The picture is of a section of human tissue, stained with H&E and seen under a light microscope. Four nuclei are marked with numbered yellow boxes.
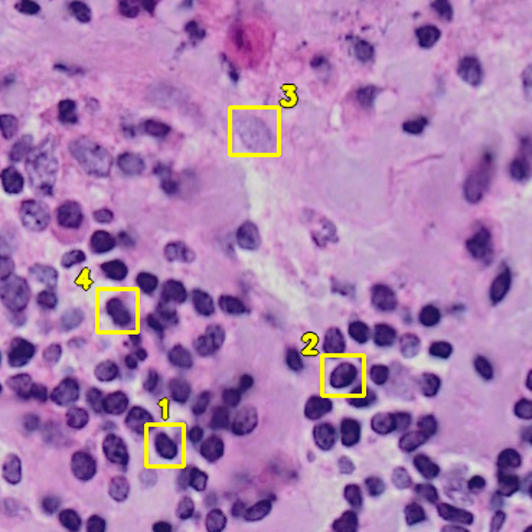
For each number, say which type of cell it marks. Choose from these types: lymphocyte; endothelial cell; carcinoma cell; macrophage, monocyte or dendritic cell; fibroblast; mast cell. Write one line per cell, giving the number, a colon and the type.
1: lymphocyte
2: lymphocyte
3: fibroblast
4: lymphocyte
